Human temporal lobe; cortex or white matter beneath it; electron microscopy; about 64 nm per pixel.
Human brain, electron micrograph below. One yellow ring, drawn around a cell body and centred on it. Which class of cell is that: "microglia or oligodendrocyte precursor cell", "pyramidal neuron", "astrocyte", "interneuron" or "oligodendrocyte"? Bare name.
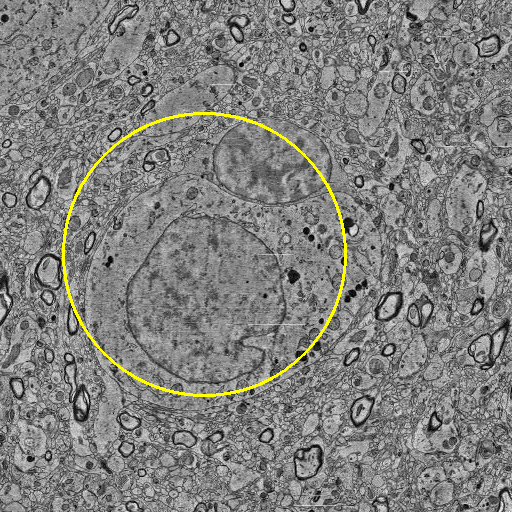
pyramidal neuron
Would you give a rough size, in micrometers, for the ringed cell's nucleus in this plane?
About 11 micrometres across in this plane.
